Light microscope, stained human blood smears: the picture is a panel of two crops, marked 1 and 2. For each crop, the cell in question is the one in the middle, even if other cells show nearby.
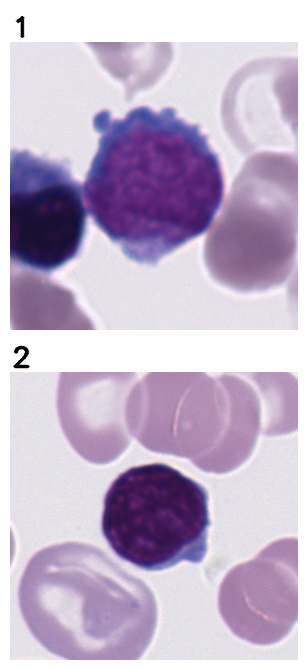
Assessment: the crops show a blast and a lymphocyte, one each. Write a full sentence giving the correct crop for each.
Crop 1 and crop 2 are a blast and a lymphocyte, in that order.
